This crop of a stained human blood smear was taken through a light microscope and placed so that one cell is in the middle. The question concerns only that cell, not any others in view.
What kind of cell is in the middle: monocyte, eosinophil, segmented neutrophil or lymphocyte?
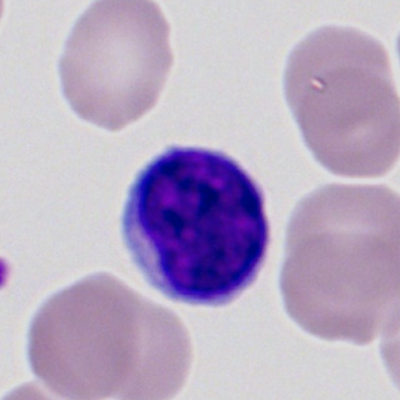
lymphocyte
